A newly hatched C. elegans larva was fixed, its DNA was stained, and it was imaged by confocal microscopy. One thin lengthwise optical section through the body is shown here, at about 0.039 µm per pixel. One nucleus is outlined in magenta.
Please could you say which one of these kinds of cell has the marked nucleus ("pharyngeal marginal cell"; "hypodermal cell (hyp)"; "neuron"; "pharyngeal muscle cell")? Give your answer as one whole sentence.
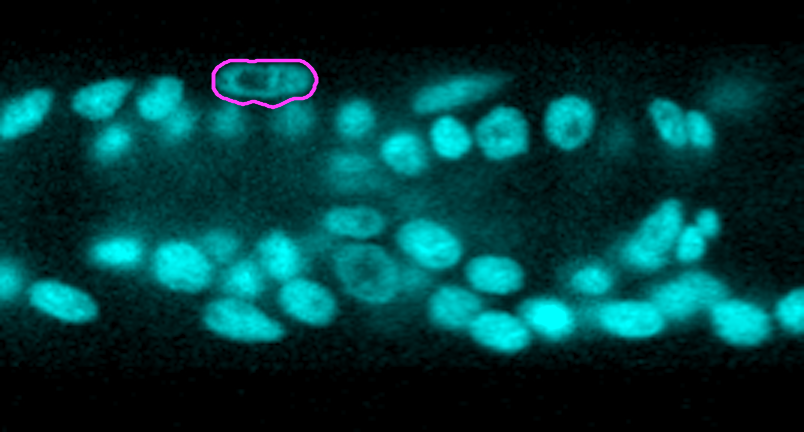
This is the nucleus of a hypodermal cell (hyp).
